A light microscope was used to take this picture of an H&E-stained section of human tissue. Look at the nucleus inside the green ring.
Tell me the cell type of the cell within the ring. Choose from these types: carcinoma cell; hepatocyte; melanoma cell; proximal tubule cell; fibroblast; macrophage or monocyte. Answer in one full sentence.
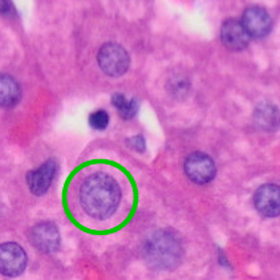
Right, so the cell within the ring is a hepatocyte, to answer that.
